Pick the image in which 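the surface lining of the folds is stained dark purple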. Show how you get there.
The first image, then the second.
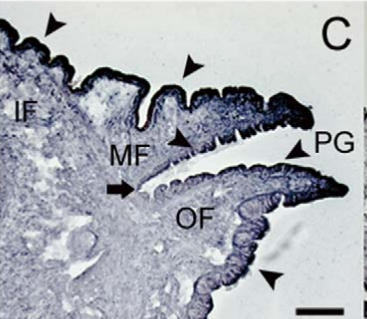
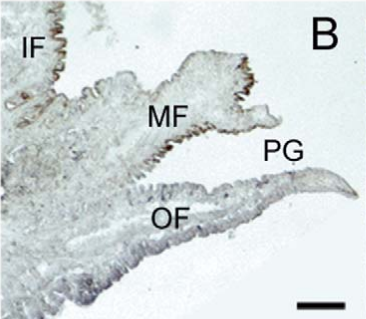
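First image: a continuous dark purple band lines the surfaces of the folds. Second image: the fold surfaces are pale with no dark purple band, only a little brown pigment. That points to this answer: the first image.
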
